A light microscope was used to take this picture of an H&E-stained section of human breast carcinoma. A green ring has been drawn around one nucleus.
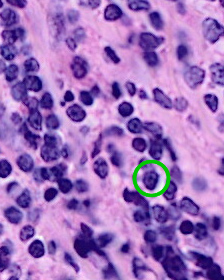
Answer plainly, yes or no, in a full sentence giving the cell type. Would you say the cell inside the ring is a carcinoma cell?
No, the cell inside the ring is not a carcinoma cell, being instead a lymphocyte.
